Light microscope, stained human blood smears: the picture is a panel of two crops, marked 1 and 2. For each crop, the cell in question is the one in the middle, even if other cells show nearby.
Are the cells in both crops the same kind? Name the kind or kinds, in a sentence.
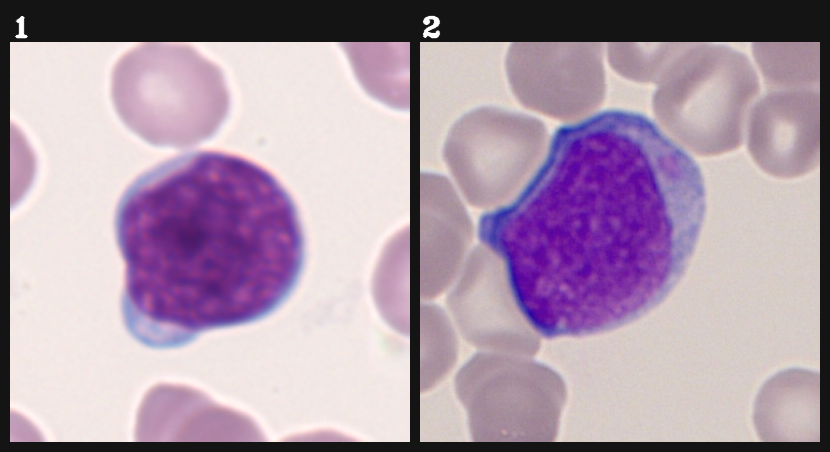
Yes, it is blasts that both crops show.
